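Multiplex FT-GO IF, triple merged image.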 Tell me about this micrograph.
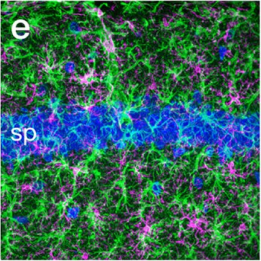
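Above and below the band, green star-shaped cells with many fine, radiating processes are evenly spaced and form a meshwork; some green processes cross the blue band. Magenta cells with small bodies and thin, branched processes are scattered among the green cells, their territories interleaved without a layered arrangement. A few isolated blue nuclei lie outside the band. The green and magenta cells are distinct populations, with little overlap of colour.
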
